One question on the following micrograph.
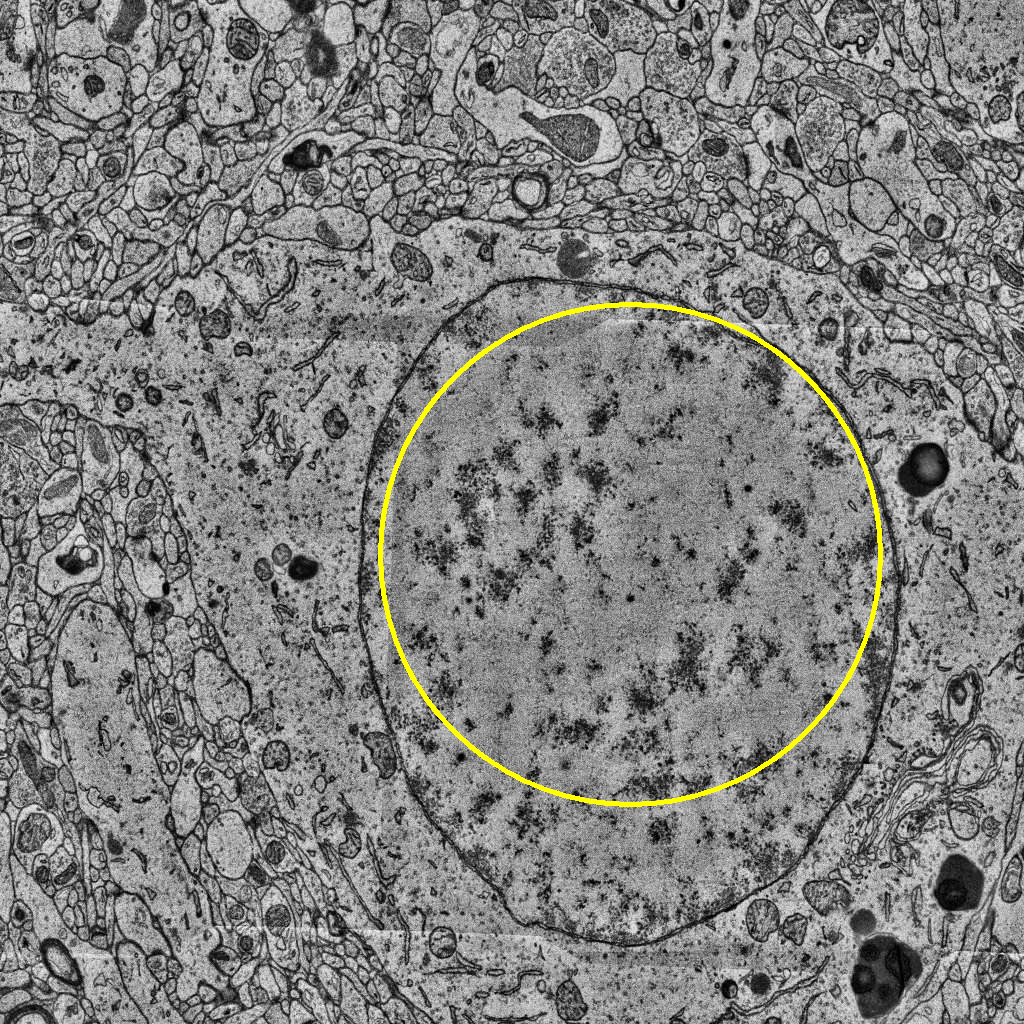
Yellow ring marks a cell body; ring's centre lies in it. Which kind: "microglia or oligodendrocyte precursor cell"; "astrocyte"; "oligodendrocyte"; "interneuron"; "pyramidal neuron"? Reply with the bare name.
pyramidal neuron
